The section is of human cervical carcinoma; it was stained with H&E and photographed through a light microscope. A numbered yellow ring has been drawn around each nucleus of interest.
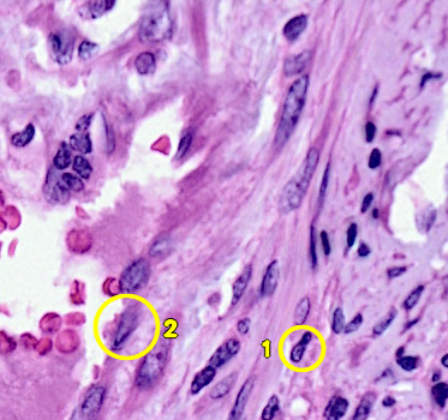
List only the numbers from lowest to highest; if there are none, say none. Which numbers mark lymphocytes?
1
